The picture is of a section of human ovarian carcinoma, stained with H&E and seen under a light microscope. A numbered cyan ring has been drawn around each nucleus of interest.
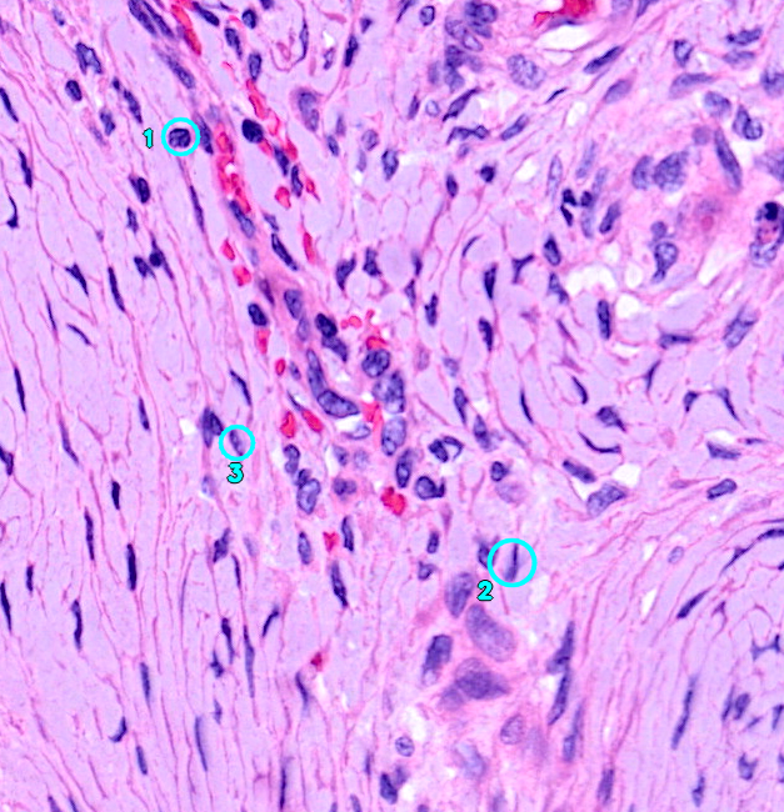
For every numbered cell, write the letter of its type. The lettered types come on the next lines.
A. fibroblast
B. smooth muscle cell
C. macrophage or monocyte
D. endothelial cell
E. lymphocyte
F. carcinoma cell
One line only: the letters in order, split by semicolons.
E; A; A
